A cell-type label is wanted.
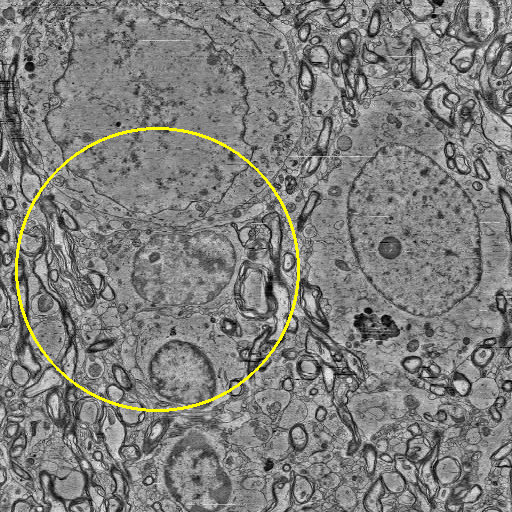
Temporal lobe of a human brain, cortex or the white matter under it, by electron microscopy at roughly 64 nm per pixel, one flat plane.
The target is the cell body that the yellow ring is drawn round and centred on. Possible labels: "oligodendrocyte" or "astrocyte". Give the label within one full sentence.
Of the labels offered, the cell in the middle of the yellow ring is an oligodendrocyte.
